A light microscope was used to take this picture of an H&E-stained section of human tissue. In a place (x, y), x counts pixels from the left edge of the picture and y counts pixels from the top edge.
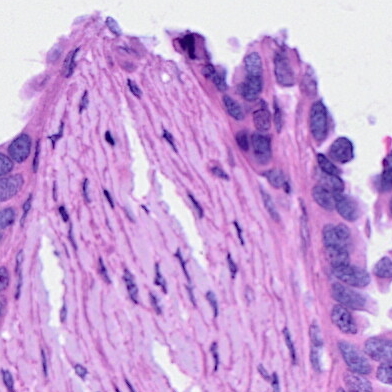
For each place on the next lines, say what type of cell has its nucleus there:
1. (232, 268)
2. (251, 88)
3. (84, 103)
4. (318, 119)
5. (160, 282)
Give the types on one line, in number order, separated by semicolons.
fibroblast; carcinoma cell; fibroblast; carcinoma cell; fibroblast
